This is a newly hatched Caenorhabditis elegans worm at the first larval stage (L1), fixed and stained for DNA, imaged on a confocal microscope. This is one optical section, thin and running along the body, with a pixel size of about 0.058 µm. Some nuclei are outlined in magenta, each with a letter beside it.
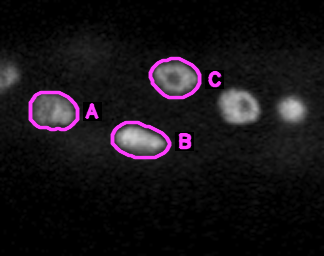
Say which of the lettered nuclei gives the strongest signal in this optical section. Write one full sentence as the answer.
Nucleus B shows the strongest staining.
